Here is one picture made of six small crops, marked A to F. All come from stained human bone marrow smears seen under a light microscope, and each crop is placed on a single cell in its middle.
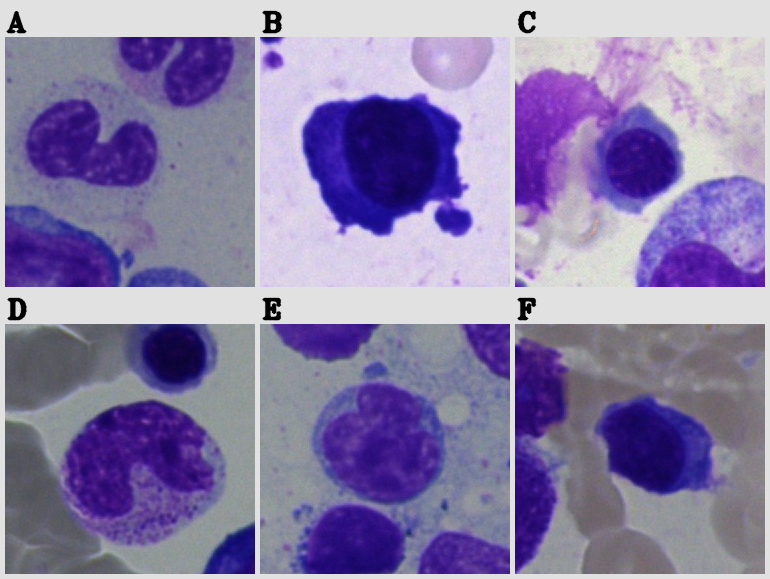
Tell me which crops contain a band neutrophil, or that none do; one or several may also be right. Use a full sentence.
In crops A and D, the central cells are band neutrophils.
